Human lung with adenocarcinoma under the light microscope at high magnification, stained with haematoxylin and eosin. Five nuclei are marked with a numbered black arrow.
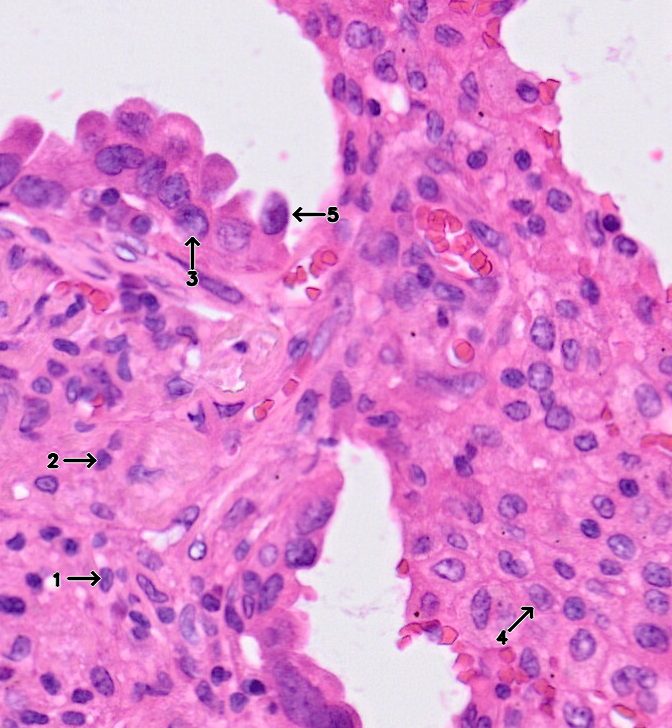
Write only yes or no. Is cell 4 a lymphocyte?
no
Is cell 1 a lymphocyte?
yes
